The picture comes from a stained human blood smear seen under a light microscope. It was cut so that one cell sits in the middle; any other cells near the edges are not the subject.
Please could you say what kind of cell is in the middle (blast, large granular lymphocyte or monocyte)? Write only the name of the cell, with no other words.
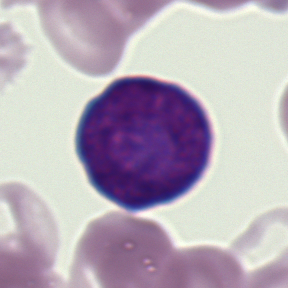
blast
